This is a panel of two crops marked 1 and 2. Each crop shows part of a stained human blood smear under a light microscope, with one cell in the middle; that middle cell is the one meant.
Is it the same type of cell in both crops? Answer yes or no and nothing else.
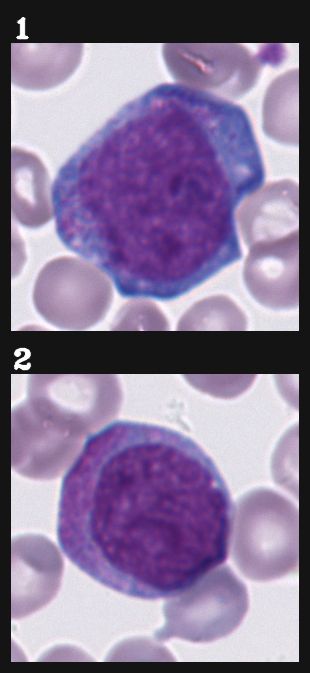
yes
